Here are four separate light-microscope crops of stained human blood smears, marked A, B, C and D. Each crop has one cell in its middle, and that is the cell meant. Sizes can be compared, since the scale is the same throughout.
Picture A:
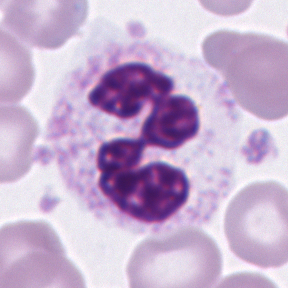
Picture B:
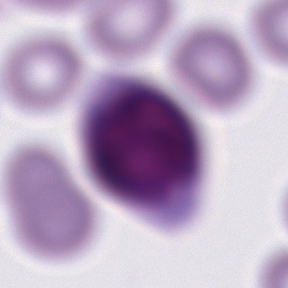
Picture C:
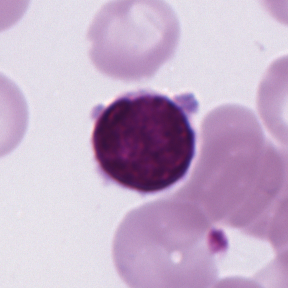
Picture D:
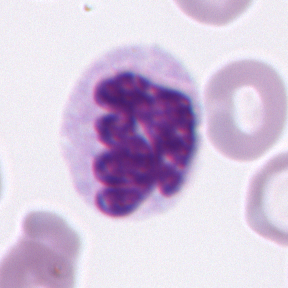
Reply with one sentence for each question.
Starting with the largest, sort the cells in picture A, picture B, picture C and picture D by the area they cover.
Going down, they run A, D, B, C.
